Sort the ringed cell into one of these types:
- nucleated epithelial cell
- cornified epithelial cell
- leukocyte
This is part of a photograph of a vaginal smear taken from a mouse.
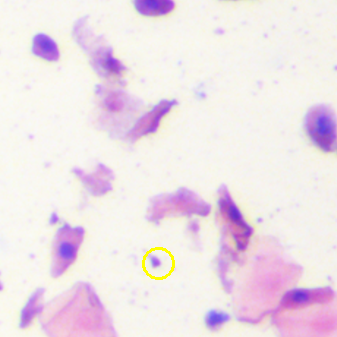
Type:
leukocyte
